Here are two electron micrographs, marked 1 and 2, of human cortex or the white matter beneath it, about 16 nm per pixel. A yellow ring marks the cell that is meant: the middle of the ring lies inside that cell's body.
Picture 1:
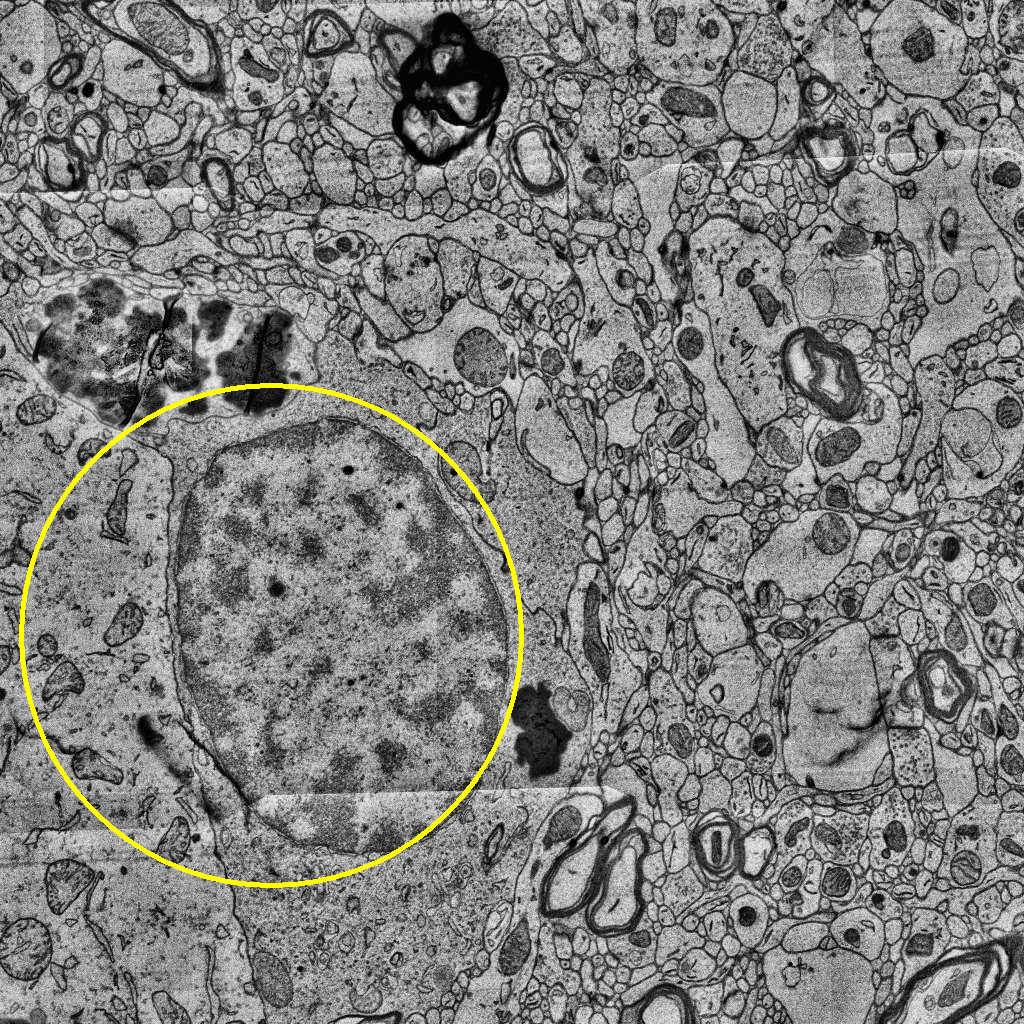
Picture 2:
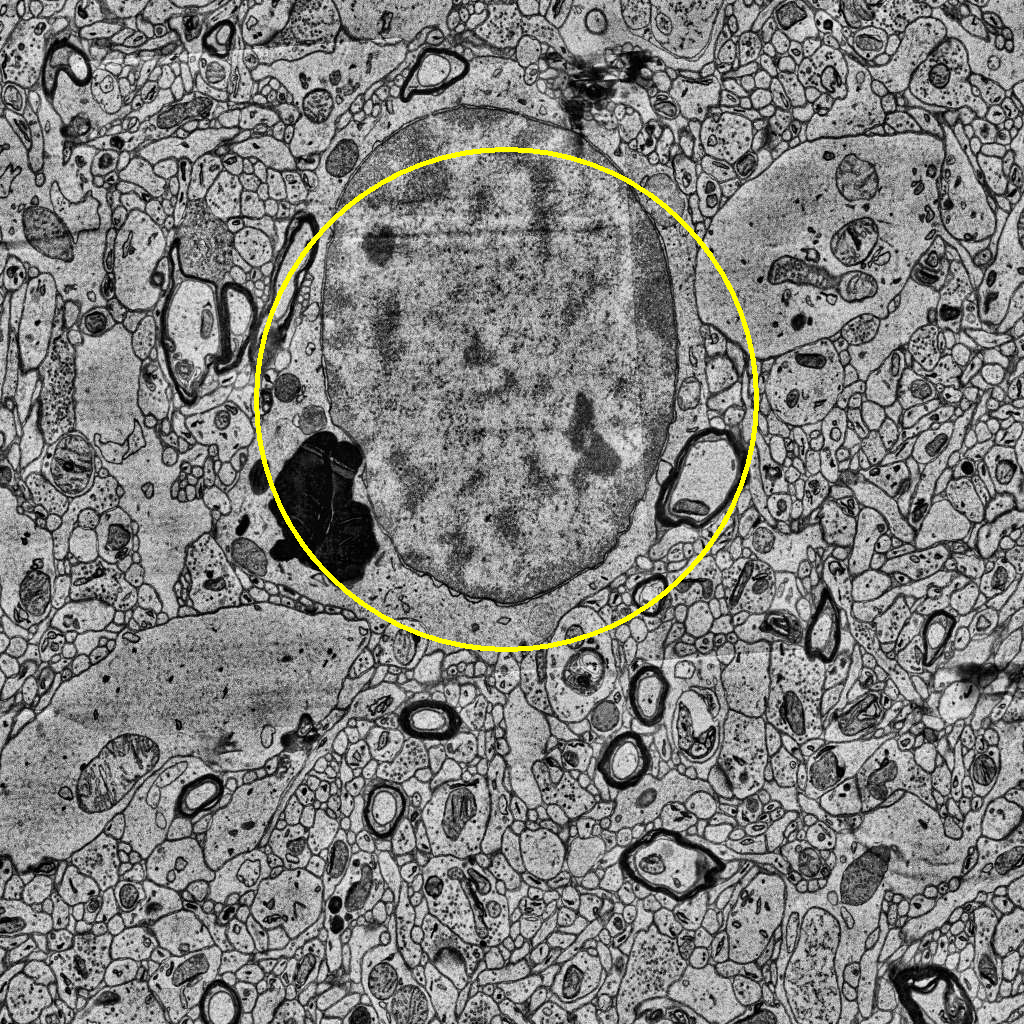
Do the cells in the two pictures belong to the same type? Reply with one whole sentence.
Yes, both are oligodendrocytes.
